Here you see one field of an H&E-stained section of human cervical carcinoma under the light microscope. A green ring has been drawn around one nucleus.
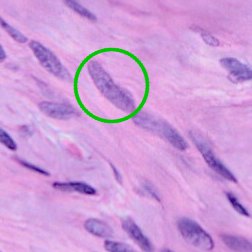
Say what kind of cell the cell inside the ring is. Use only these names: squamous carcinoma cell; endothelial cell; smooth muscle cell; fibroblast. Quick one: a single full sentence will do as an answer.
The cell type represented by the cell inside the ring is that of a fibroblast.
